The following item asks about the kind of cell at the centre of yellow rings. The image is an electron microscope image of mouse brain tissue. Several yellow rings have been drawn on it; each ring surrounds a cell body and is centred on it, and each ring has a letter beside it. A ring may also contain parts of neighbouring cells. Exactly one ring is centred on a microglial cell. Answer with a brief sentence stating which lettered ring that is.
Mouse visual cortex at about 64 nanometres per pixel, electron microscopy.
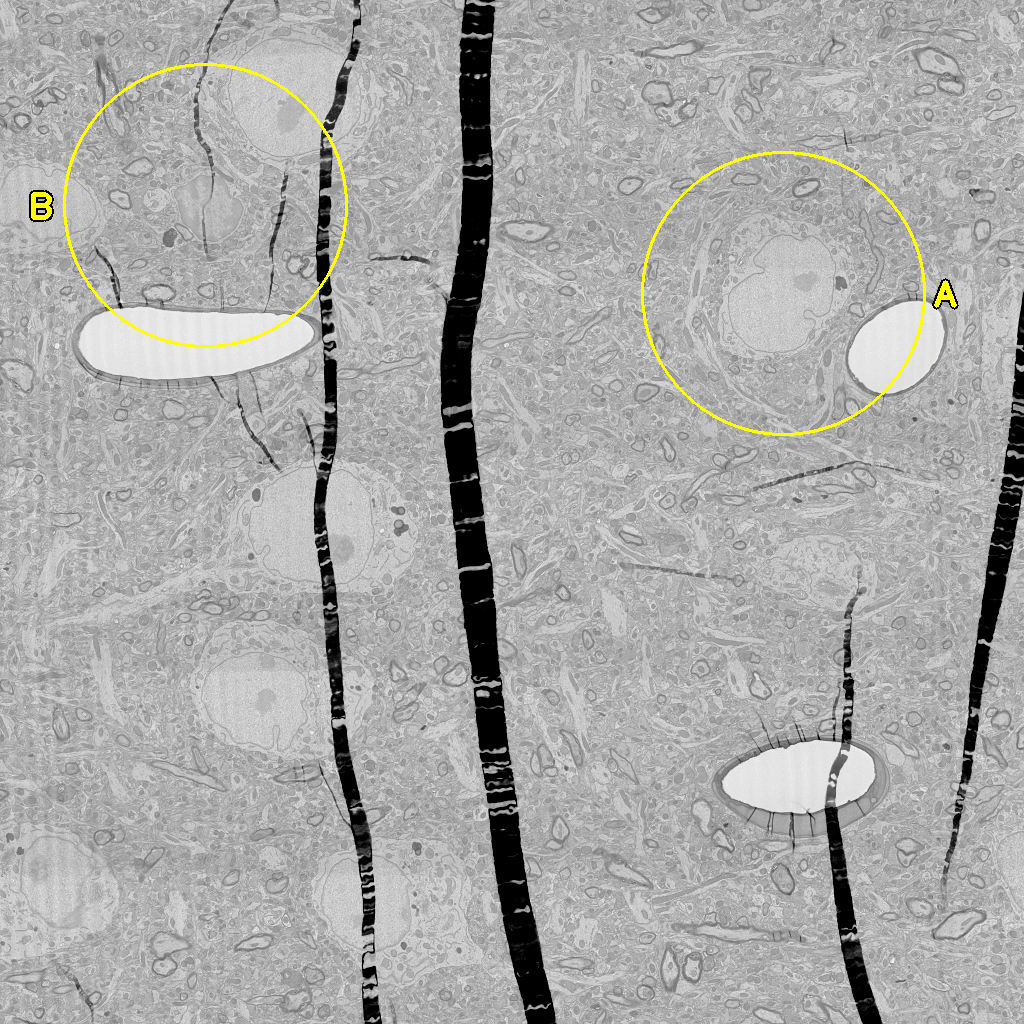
That is ring B.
